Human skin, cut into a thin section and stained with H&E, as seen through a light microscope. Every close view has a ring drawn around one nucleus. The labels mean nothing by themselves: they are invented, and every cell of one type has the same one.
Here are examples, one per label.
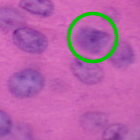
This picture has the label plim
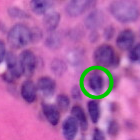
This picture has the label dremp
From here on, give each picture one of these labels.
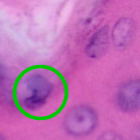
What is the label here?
plim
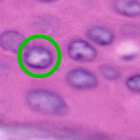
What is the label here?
plim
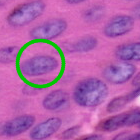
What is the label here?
plim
